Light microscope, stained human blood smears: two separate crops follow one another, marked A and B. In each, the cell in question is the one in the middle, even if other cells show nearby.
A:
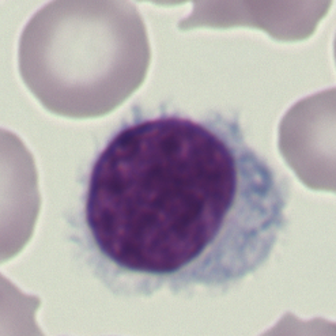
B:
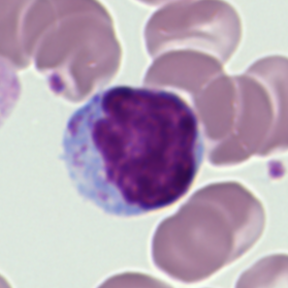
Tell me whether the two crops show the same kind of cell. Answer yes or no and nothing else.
no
